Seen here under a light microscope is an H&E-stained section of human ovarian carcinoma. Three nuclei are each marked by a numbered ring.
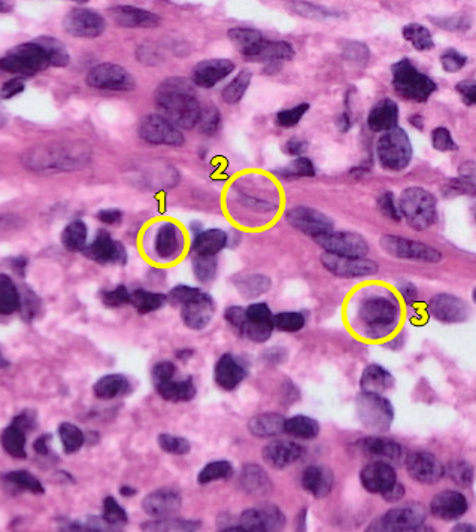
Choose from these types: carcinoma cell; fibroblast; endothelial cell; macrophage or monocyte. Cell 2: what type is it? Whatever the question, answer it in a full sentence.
The expected answer is that cell 2 is an endothelial cell.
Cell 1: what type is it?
The nucleus marked 1 is the nucleus of a carcinoma cell.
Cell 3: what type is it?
Corresponding to a carcinoma cell is the cell labelled 3.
